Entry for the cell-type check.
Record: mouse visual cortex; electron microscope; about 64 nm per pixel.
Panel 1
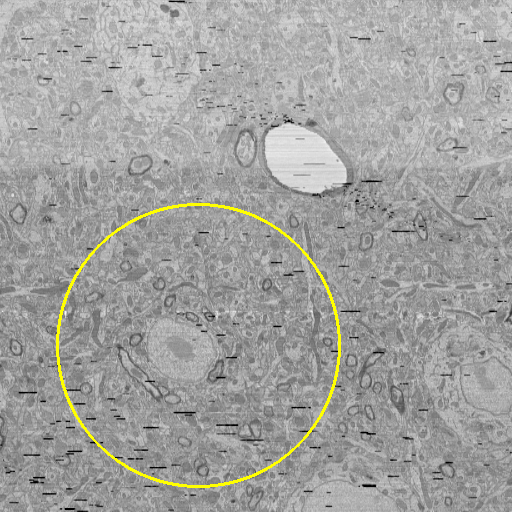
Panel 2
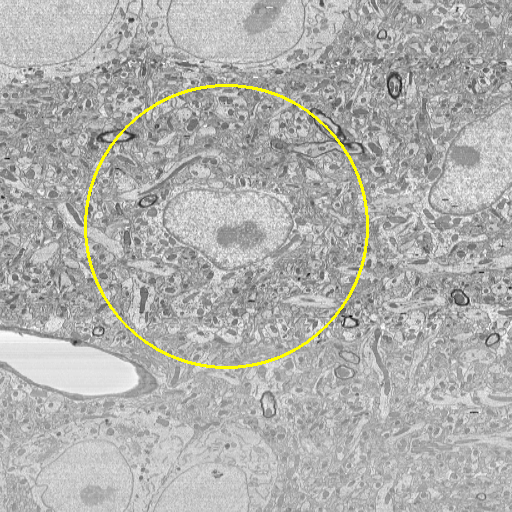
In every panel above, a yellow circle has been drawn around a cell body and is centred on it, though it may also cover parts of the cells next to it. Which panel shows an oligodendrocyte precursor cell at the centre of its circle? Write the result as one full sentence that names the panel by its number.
Panel 1 shows it at the centre of its circle.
